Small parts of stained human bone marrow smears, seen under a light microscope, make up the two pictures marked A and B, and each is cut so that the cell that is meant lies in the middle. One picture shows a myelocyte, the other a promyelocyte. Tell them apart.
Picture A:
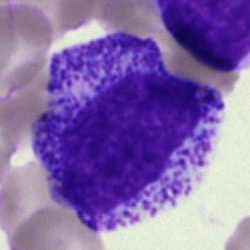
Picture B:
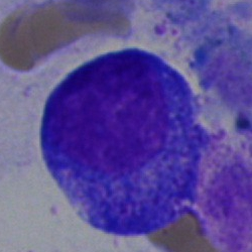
A: myelocyte
B: promyelocyte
